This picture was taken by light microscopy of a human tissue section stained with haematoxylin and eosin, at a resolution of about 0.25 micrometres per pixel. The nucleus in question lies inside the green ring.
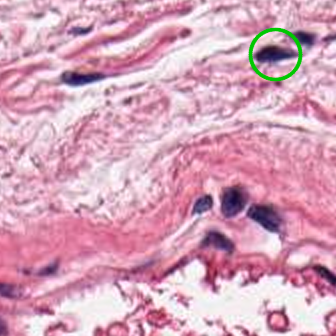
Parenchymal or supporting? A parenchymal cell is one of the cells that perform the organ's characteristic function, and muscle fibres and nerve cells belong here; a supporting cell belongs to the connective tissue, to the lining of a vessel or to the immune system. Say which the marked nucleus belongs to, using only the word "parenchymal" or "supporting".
supporting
